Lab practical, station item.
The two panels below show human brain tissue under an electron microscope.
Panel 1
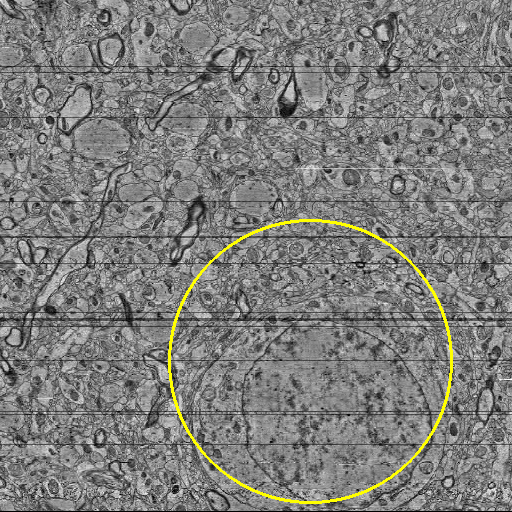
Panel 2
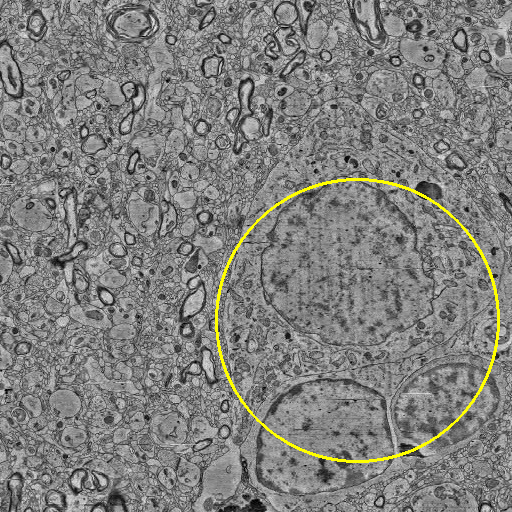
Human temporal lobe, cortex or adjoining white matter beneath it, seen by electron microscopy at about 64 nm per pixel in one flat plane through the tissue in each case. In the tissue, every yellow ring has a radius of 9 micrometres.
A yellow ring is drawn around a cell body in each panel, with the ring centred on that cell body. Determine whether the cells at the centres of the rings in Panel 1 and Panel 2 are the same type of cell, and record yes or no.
no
